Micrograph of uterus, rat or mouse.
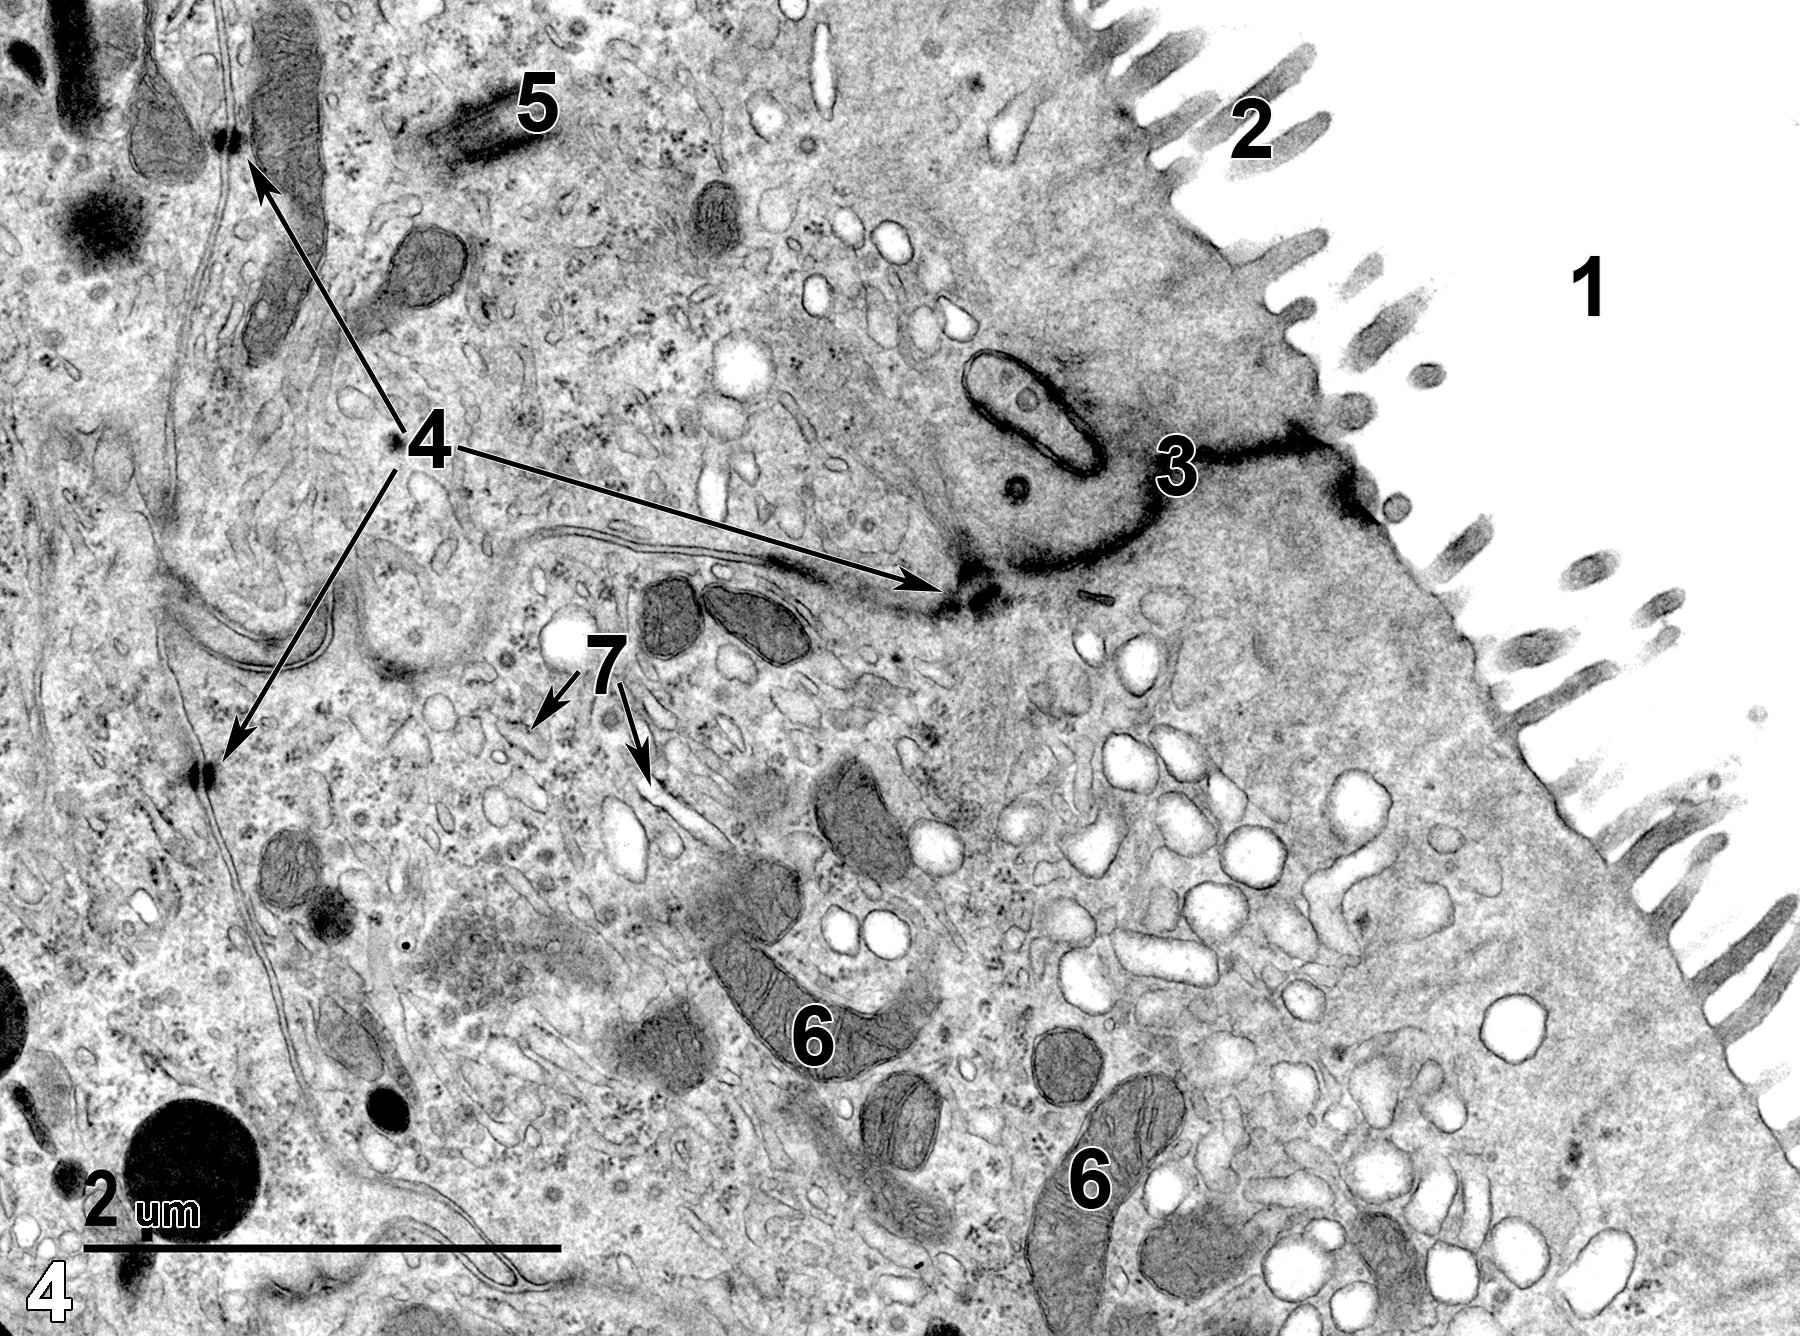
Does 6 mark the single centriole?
No: the mitochondria.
